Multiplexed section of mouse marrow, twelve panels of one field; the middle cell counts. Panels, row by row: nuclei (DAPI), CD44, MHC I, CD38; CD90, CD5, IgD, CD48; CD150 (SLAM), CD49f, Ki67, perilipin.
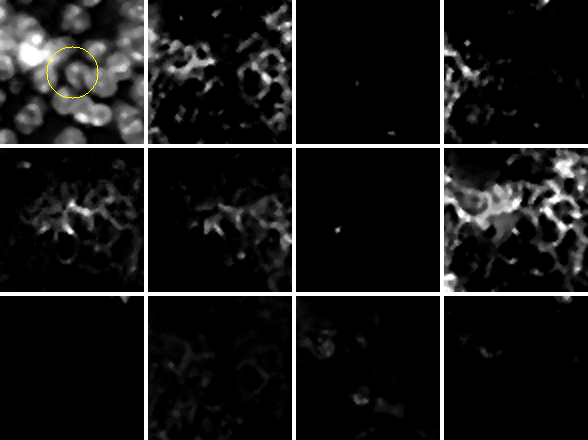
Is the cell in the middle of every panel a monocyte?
No, it is a T cell.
